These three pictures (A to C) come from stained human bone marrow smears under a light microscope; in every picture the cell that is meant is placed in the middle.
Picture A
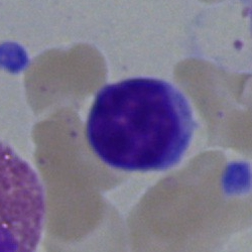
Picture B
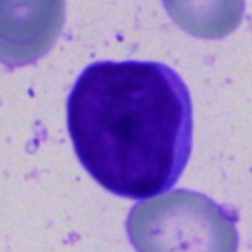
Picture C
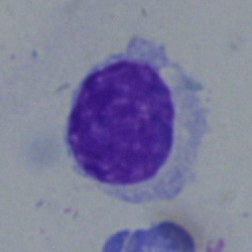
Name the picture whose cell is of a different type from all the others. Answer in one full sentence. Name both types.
Unlike the rest, which show lymphocytes, picture B shows a blast.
